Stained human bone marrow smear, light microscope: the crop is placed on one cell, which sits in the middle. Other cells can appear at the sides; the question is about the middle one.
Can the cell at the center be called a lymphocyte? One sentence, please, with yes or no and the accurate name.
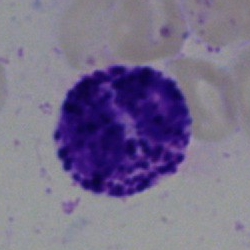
No, what is seen at the centre is a basophil instead of a lymphocyte.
